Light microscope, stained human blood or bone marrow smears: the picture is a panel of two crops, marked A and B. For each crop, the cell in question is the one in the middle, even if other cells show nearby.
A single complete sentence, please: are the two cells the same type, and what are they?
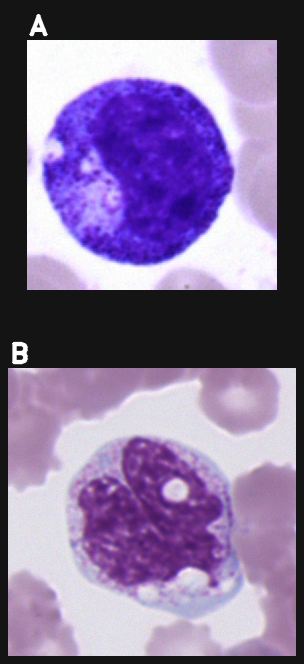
No, crop A carries a promyelocyte at its centre, and crop B carries a monocyte.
